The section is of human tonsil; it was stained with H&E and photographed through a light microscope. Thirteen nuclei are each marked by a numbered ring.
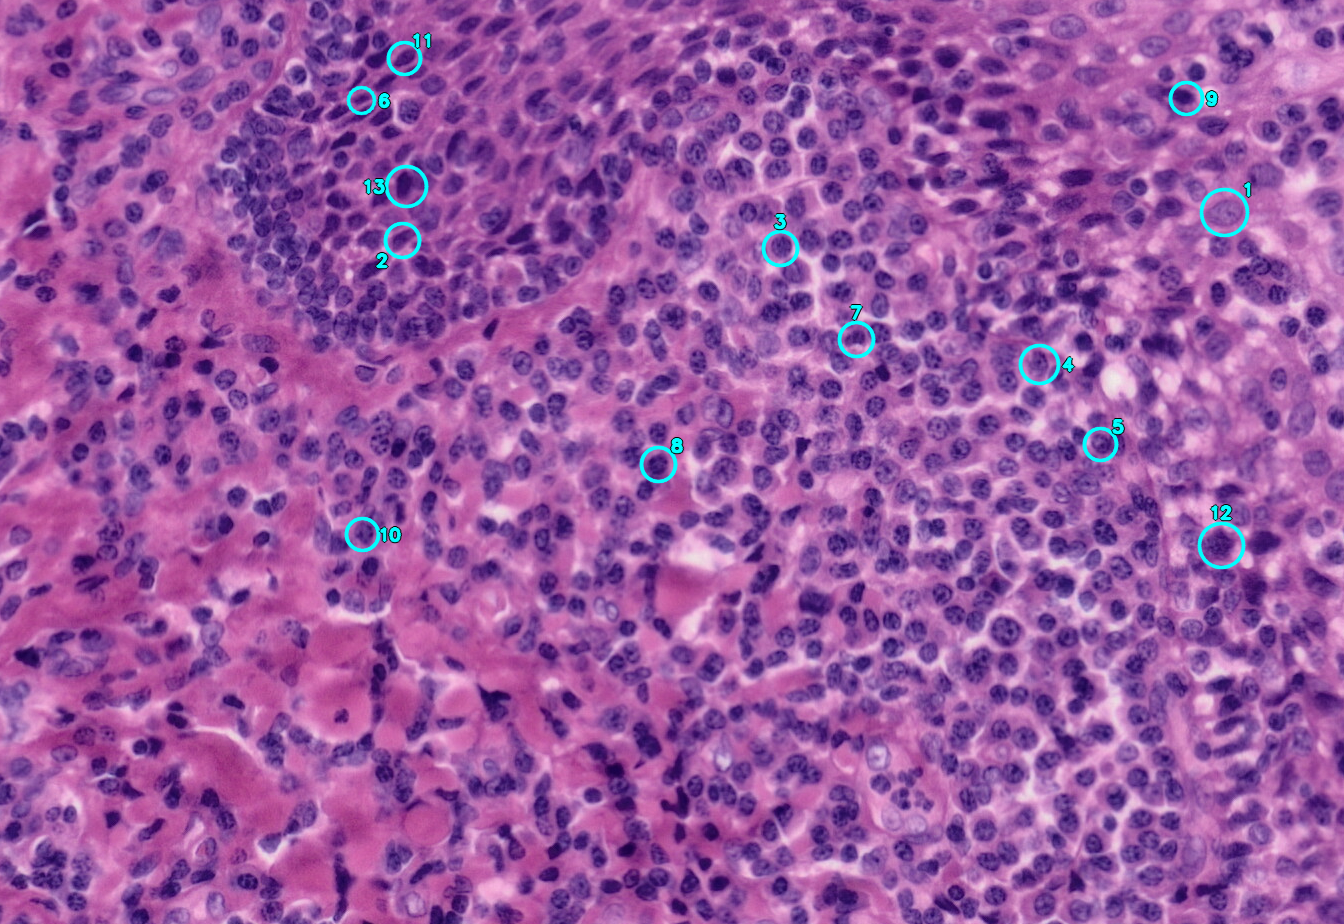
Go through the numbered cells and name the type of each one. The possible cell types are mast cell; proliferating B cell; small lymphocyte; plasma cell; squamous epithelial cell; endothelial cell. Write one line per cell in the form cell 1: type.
cell 1: squamous epithelial cell
cell 2: squamous epithelial cell
cell 3: plasma cell
cell 4: plasma cell
cell 5: plasma cell
cell 6: squamous epithelial cell
cell 7: plasma cell
cell 8: plasma cell
cell 9: squamous epithelial cell
cell 10: plasma cell
cell 11: squamous epithelial cell
cell 12: squamous epithelial cell
cell 13: squamous epithelial cell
